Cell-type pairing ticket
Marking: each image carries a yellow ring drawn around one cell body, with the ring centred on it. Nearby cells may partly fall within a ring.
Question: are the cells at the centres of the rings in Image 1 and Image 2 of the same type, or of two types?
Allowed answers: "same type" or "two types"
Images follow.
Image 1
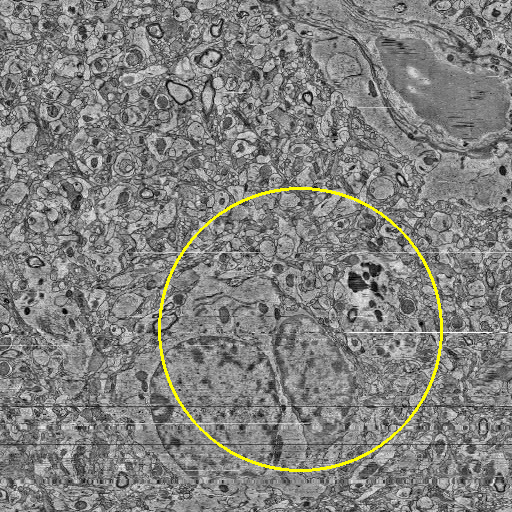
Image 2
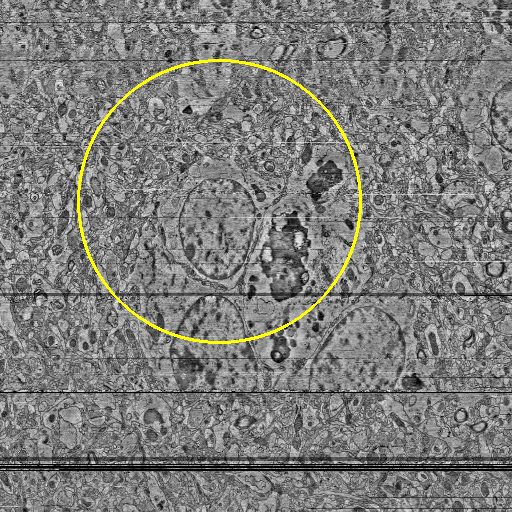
two types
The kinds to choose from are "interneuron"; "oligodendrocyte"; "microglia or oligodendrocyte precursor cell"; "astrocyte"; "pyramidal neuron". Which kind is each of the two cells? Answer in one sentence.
Of the two, the first cell is an oligodendrocyte and the second cell is an astrocyte.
